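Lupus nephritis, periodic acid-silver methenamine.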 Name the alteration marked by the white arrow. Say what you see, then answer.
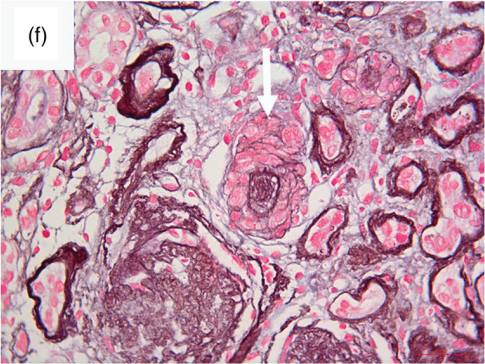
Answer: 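A small vessel shows concentric layers of cells around a tiny central lumen. The layers give a ringed, laminated appearance. That points to this answer: “Onion skin” pattern lesion.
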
